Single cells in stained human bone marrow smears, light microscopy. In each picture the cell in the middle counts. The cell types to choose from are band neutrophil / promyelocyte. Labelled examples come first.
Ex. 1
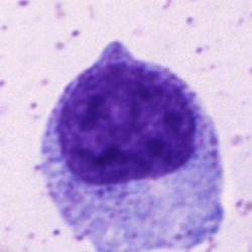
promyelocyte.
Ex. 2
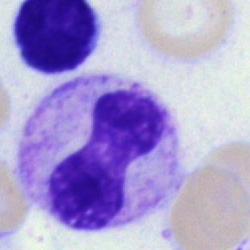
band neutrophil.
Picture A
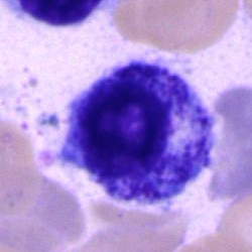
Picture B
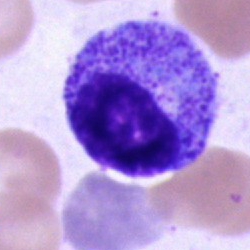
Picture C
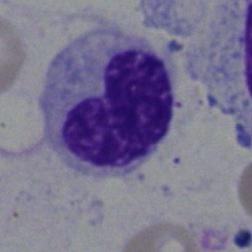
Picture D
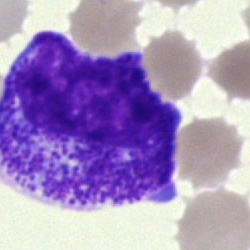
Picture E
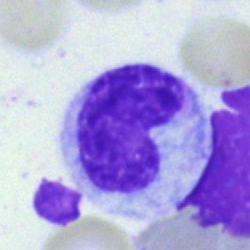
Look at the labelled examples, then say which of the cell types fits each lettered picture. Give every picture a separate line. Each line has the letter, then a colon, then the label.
A: promyelocyte.
B: promyelocyte.
C: band neutrophil.
D: promyelocyte.
E: band neutrophil.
